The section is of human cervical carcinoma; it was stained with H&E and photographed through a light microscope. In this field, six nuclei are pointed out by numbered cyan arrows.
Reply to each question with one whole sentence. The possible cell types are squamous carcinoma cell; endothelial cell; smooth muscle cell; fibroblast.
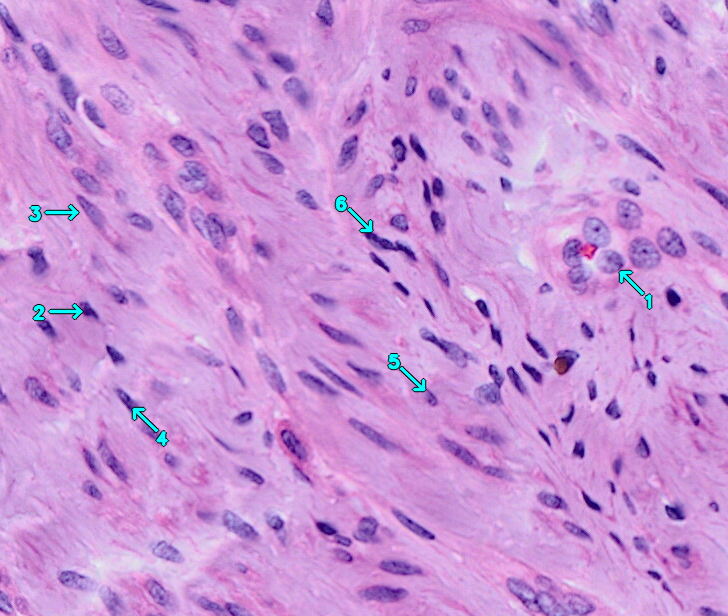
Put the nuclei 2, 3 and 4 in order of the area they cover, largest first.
The nuclei rank 3, 4, 2, from largest to smallest.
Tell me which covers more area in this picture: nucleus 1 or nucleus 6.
Of the two, number 1 is bigger and takes up about 2 times the area of number 6.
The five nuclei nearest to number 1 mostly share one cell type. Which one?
Endothelial cells account for more than half of the five nuclei nearest to number 1.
